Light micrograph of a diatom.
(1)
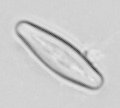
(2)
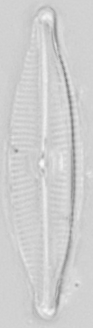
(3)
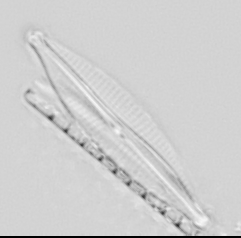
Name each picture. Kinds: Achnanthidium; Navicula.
Picture 1: Achnanthidium
Picture 2: Navicula
Picture 3: Navicula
